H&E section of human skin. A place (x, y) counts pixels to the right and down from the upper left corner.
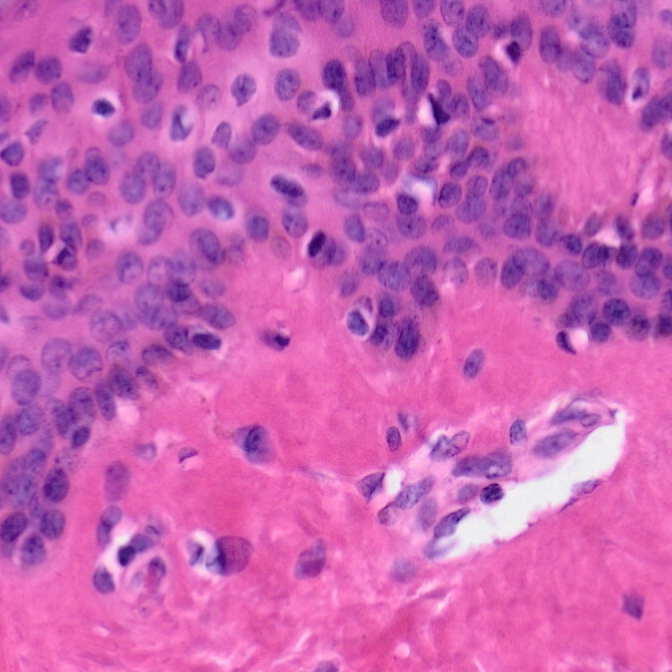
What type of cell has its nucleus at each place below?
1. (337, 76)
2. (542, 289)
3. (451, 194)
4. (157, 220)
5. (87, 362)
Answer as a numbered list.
1. basal keratinocyte
2. basal keratinocyte
3. basal keratinocyte
4. suprabasal keratinocyte
5. suprabasal keratinocyte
